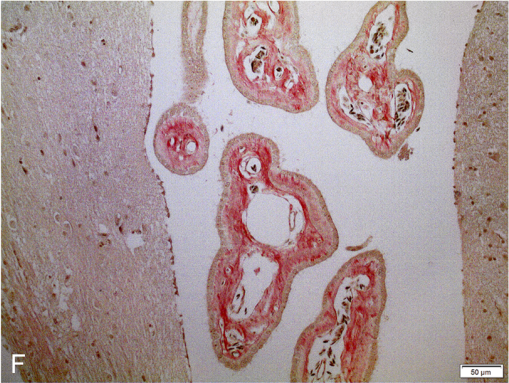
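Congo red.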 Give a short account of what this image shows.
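Fronds of choroid plexus project into a ventricular space between two strips of pale brain tissue. Each frond is covered by a single layer of cuboidal epithelium and has a loose core containing small blood vessels. The cores and the walls of the vessels stain red, while the covering epithelium stays pale brownish. The neighbouring brain tissue shows scattered small dark nuclei and no red staining.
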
